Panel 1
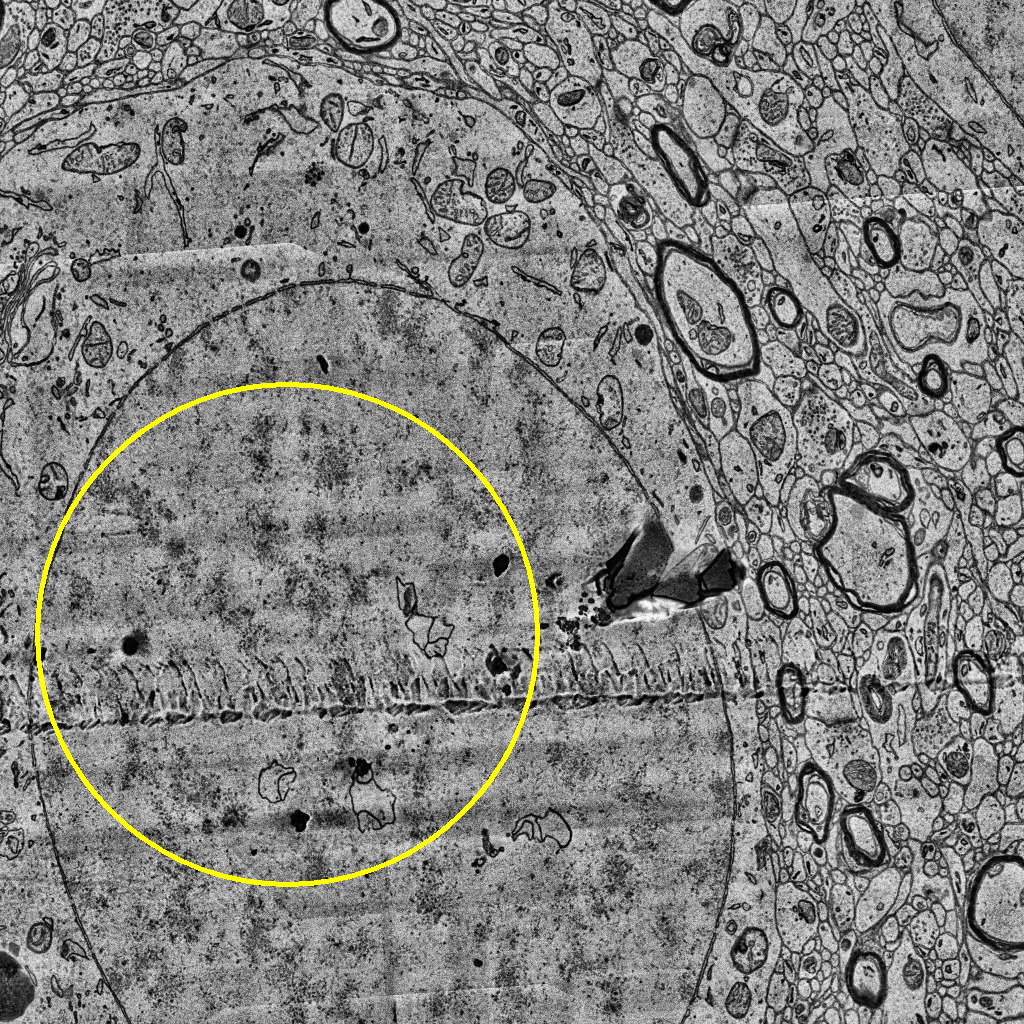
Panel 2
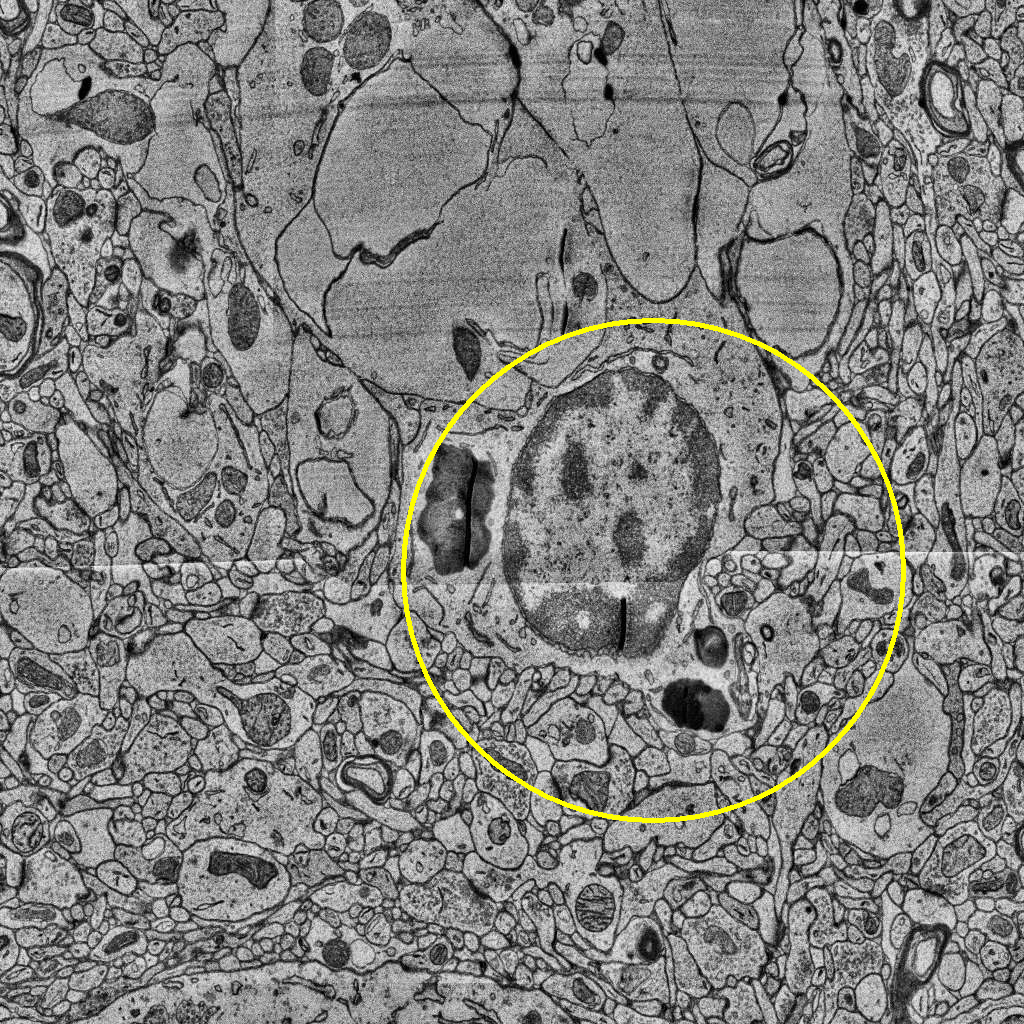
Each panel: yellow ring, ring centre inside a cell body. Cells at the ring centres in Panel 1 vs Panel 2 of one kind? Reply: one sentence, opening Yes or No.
No, Panel 1 and Panel 2 have cells of two kinds at the ring centres.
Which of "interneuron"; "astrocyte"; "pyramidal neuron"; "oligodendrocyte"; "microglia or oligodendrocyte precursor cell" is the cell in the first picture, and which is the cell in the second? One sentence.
The first cell is a pyramidal neuron; the second is a microglial cell or oligodendrocyte precursor cell.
